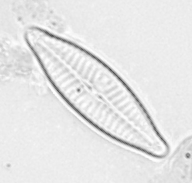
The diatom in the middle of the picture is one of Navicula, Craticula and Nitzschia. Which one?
Navicula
